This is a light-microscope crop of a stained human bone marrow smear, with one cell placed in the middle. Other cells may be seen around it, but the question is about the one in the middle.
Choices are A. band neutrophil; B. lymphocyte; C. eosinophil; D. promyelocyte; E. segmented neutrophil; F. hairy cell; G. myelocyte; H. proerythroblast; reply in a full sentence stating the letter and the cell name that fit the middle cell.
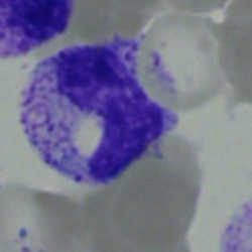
Occupying the middle of the crop is a band neutrophil, hence option A is correct.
